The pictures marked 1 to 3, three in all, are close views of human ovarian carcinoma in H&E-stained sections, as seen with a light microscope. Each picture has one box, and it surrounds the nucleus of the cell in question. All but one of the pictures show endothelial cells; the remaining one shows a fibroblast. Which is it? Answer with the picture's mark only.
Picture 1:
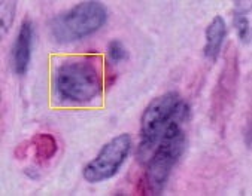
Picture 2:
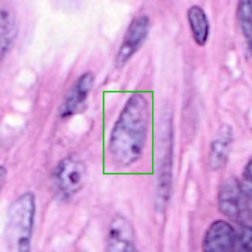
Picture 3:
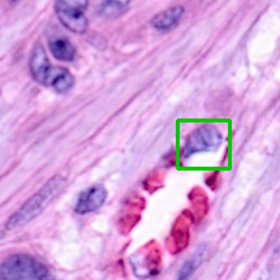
2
